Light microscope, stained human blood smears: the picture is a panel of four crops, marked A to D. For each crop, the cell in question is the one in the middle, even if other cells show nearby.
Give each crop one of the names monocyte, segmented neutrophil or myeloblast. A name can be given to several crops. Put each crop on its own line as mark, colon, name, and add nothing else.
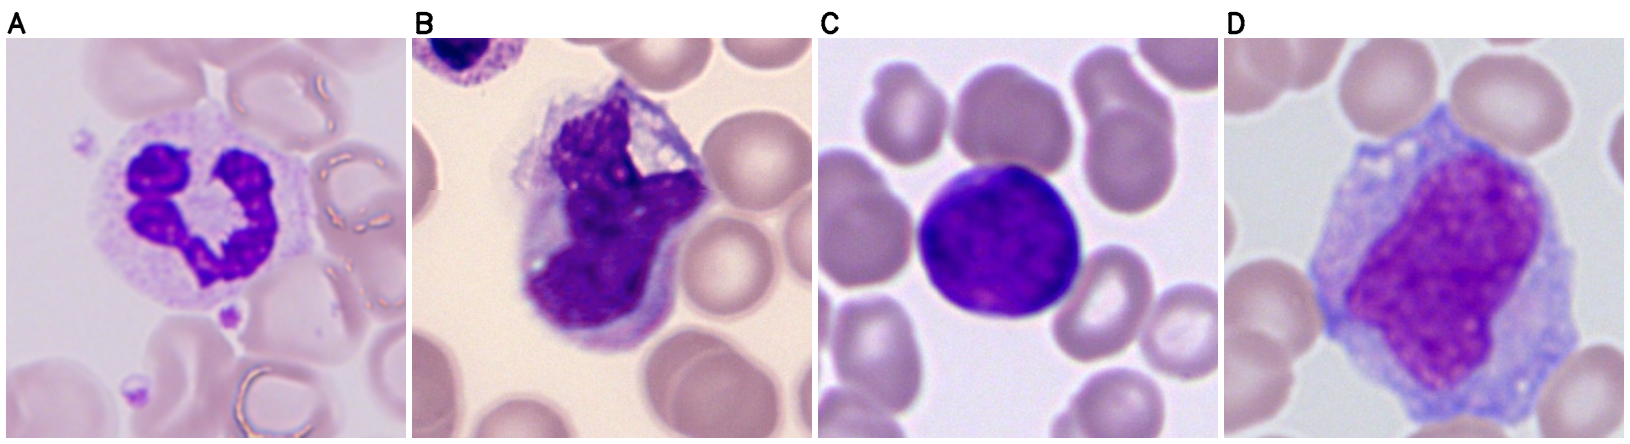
A: segmented neutrophil
B: monocyte
C: myeloblast
D: monocyte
